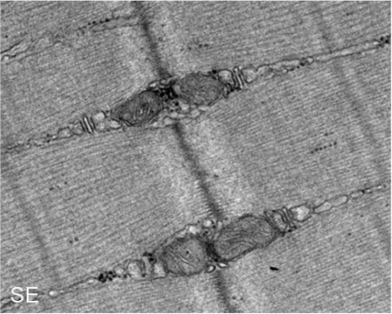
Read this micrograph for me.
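Longitudinal section of skeletal muscle with parallel striated myofibrils crossed by dark Z-lines. Interfibrillar mitochondria lie in pairs between myofibrils on either side of a Z-line, compact with visible cristae. Small dark granules and small vesicular profiles line the spaces between myofibrils.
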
